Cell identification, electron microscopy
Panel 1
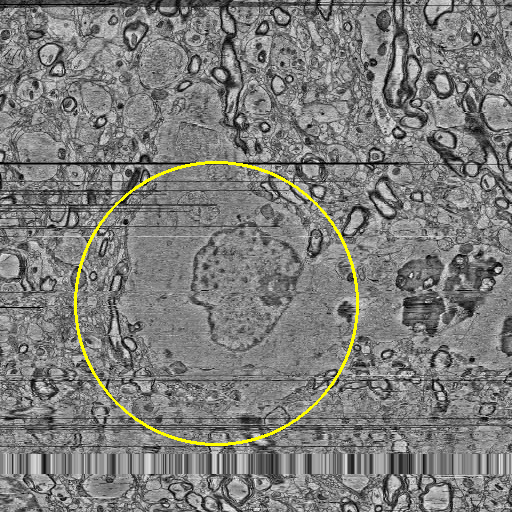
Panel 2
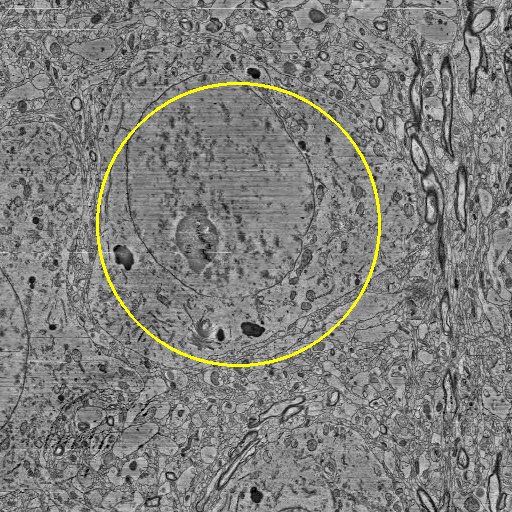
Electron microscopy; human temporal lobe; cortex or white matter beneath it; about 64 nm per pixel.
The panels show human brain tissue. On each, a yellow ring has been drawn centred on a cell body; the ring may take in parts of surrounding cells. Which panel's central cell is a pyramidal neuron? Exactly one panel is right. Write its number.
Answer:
2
